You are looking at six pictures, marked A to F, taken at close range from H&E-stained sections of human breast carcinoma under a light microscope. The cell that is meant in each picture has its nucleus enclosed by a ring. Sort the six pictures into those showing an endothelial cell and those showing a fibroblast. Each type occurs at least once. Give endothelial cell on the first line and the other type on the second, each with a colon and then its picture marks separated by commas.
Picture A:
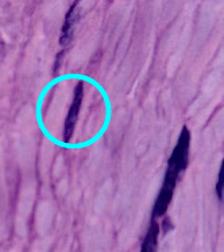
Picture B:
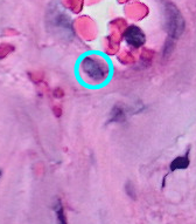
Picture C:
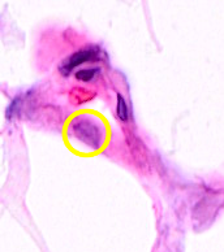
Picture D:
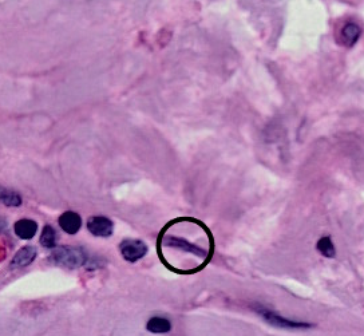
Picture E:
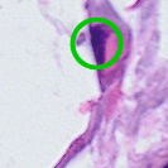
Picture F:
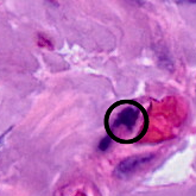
endothelial cell: B, C, E, F
fibroblast: A, D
